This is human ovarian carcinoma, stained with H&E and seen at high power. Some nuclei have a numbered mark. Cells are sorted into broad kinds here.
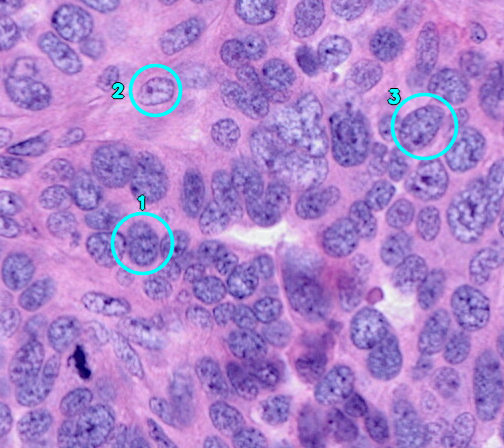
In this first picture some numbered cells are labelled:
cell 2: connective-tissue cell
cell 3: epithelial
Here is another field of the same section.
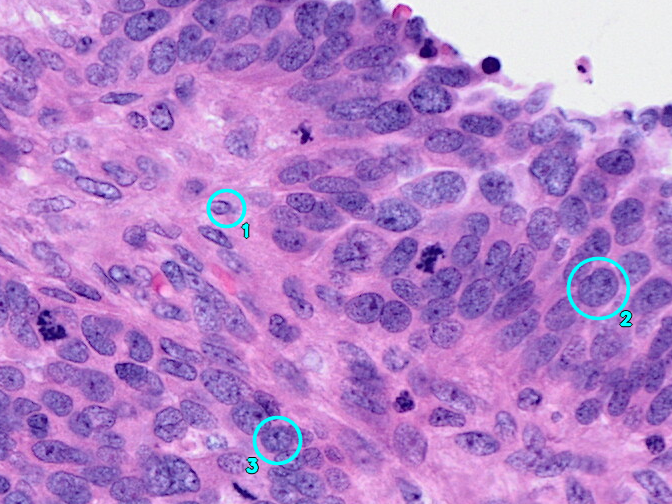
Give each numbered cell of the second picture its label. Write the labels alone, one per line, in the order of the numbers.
connective-tissue cell
epithelial
epithelial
